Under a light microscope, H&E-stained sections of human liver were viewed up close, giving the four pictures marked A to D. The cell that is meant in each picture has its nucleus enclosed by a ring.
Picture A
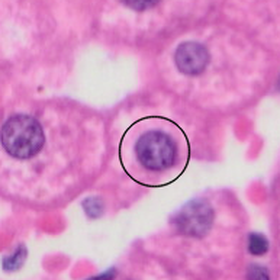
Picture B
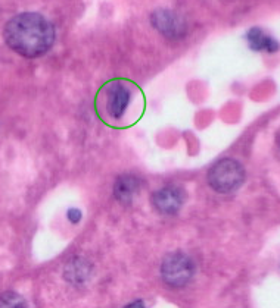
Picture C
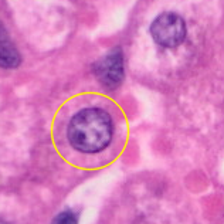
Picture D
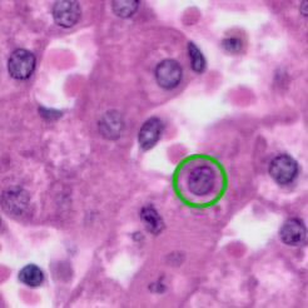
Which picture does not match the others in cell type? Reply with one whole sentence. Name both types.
Picture B is the odd one out: it shows a “fibroblast or stellate cell”, while the others show hepatocytes.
